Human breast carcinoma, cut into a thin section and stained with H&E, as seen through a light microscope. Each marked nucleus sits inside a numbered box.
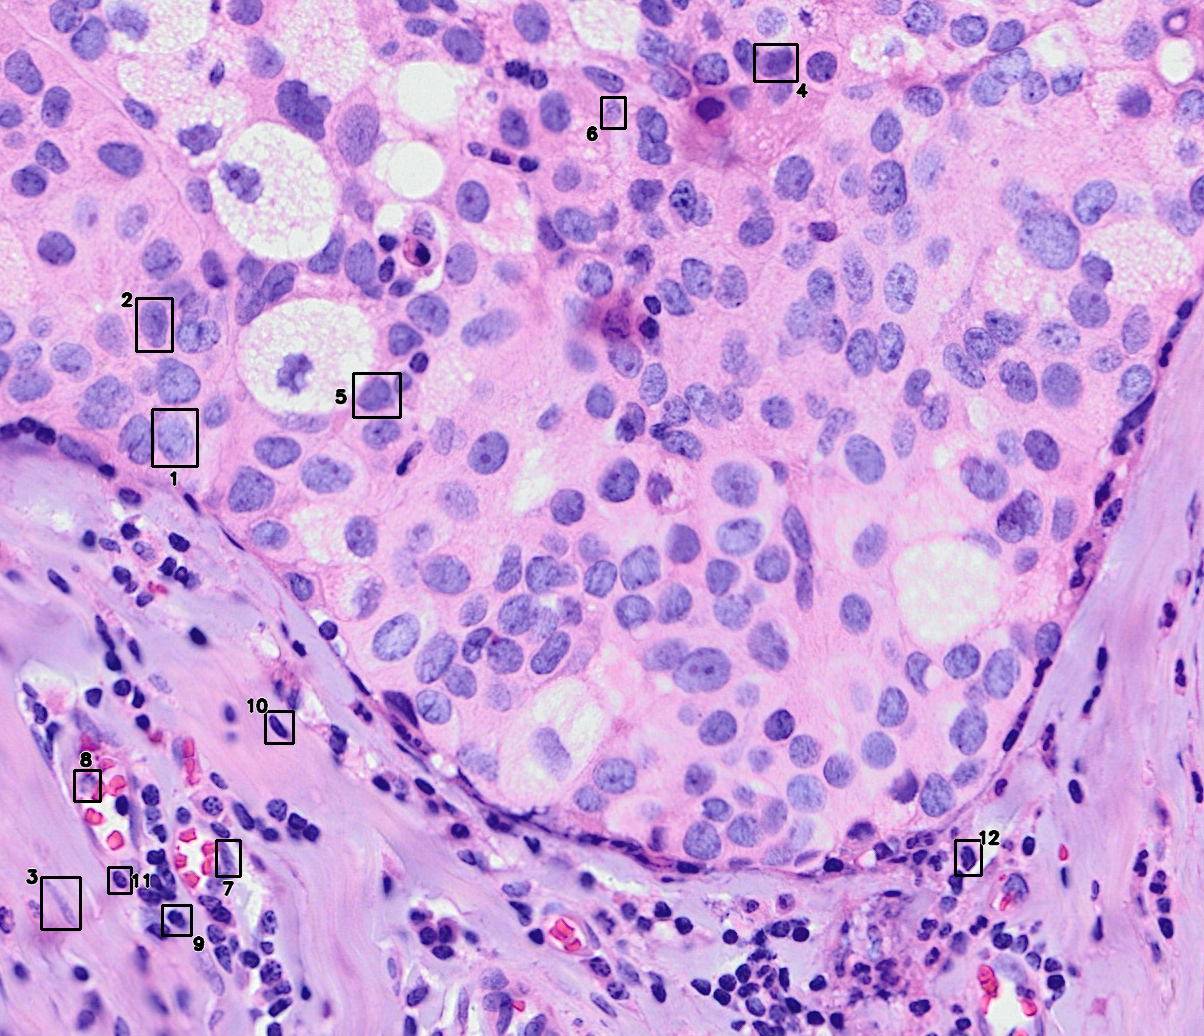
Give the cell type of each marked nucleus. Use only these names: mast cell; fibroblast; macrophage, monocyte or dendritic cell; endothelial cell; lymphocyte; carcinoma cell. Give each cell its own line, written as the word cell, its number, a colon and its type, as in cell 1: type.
cell 1: carcinoma cell
cell 2: carcinoma cell
cell 3: fibroblast
cell 4: carcinoma cell
cell 5: carcinoma cell
cell 6: carcinoma cell
cell 7: endothelial cell
cell 8: endothelial cell
cell 9: lymphocyte
cell 10: lymphocyte
cell 11: lymphocyte
cell 12: lymphocyte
